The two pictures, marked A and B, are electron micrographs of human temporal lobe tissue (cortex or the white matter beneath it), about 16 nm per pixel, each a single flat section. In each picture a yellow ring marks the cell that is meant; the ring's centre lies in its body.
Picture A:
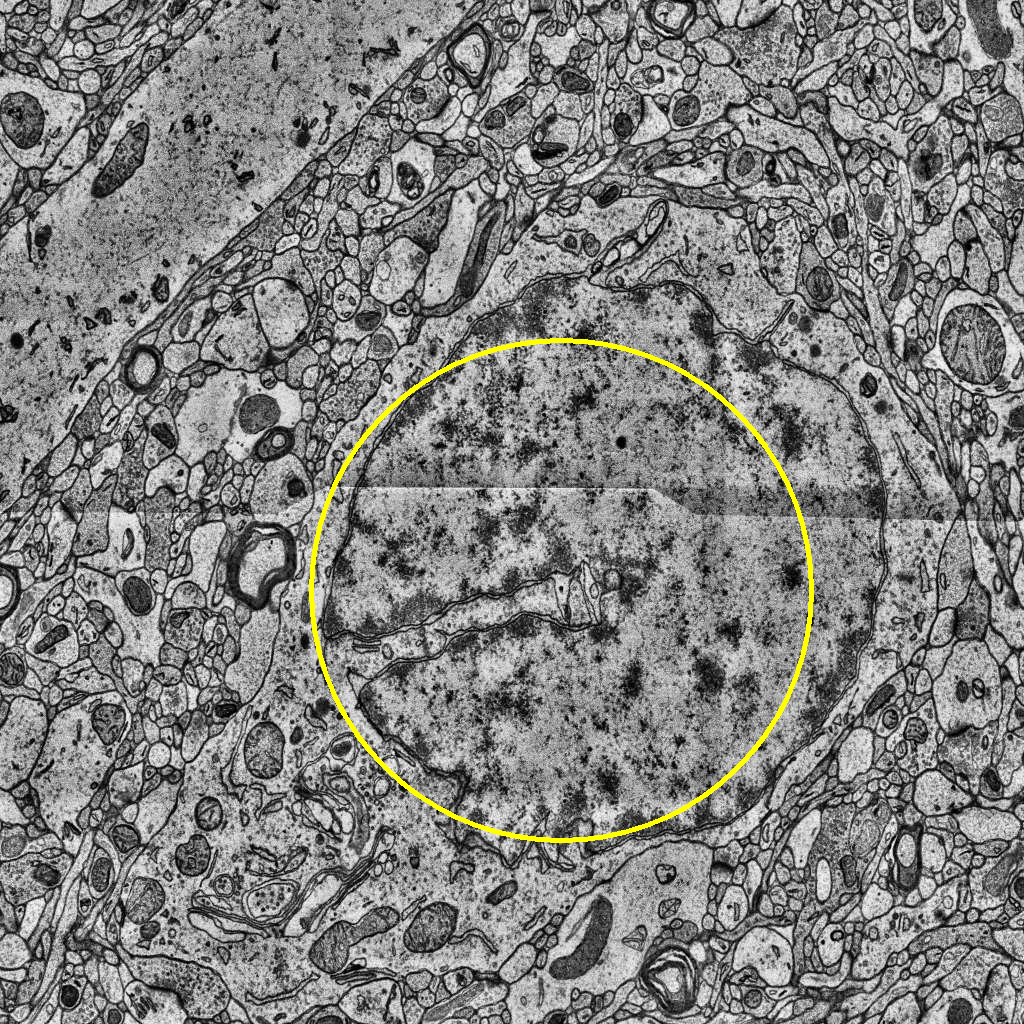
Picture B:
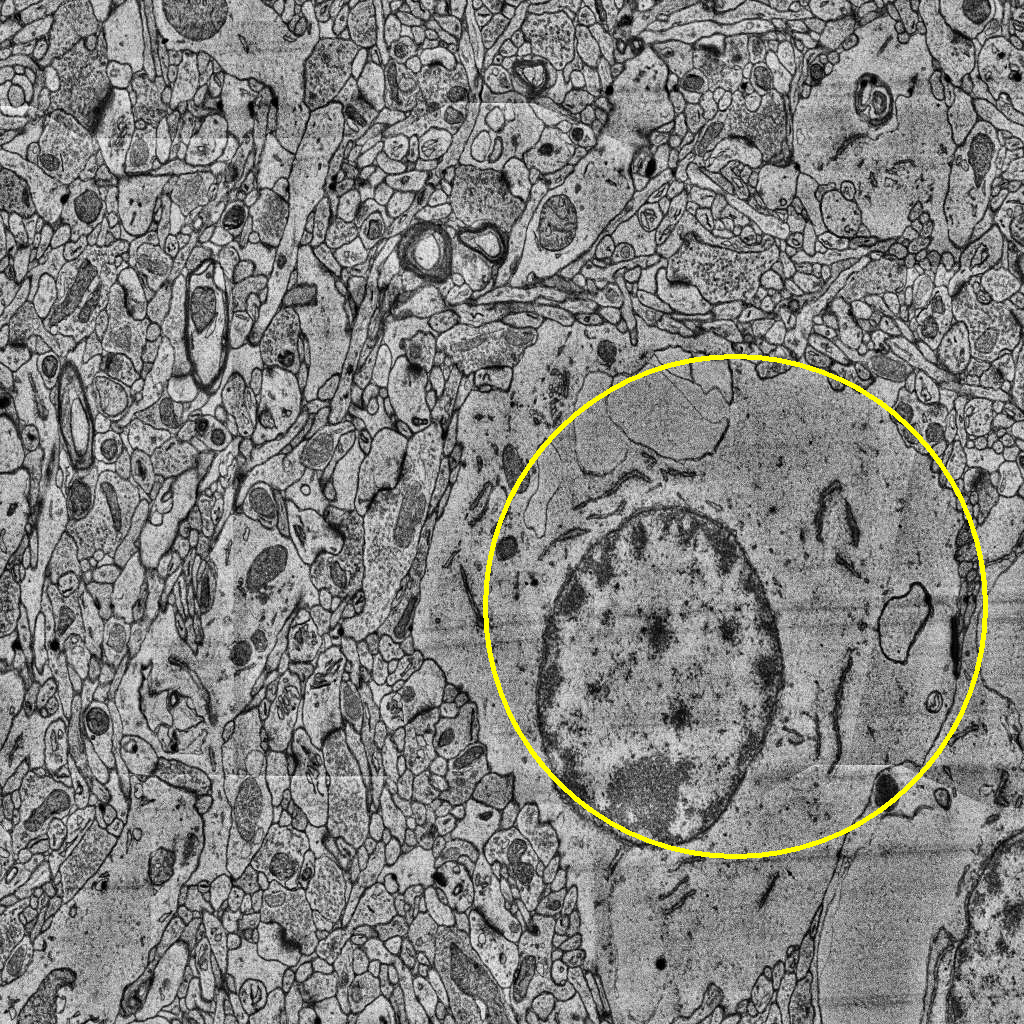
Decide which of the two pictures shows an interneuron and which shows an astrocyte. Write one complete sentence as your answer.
In picture A the cell is an interneuron; in picture B, an astrocyte.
